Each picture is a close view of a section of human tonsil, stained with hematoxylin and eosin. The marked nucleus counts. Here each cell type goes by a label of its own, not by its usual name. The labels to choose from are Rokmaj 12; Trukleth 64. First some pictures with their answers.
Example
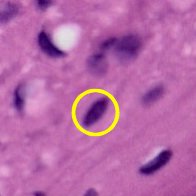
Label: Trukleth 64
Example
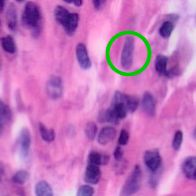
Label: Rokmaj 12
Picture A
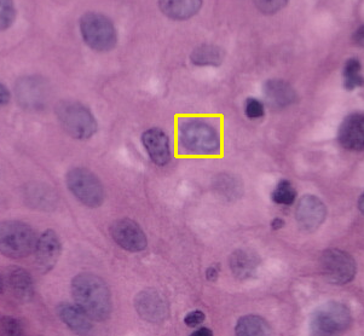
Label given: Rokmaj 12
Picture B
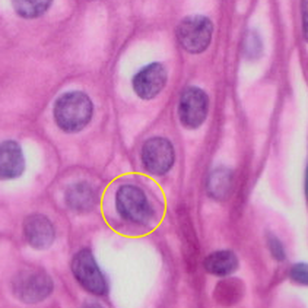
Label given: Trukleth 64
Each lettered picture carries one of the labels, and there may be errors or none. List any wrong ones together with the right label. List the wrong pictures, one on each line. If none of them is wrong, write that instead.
A should be Trukleth 64, not Rokmaj 12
